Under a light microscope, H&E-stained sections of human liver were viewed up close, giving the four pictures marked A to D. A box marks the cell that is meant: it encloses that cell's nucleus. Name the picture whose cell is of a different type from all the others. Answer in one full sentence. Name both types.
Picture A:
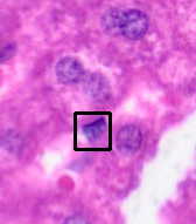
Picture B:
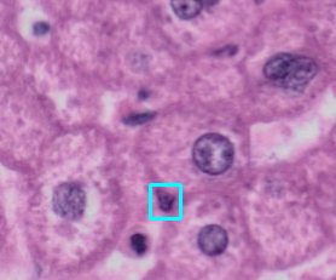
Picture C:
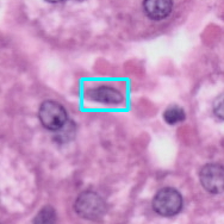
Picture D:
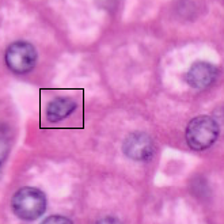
Unlike the rest, which show “fibroblasts or stellate cells”, picture C shows a Kupffer cell.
